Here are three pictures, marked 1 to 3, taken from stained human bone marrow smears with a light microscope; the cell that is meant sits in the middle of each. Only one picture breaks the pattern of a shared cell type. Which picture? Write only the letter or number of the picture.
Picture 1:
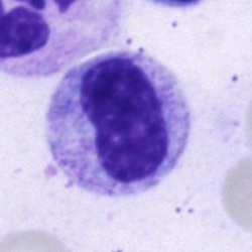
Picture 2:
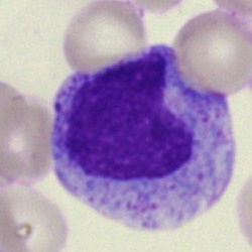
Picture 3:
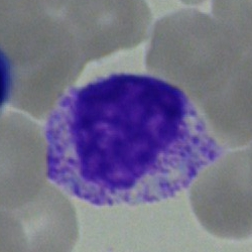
3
